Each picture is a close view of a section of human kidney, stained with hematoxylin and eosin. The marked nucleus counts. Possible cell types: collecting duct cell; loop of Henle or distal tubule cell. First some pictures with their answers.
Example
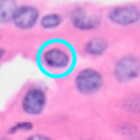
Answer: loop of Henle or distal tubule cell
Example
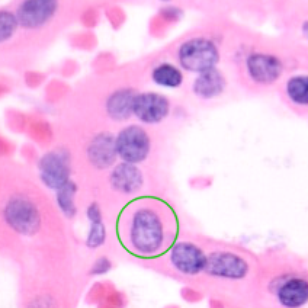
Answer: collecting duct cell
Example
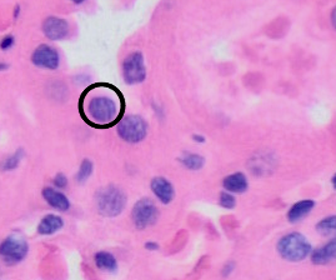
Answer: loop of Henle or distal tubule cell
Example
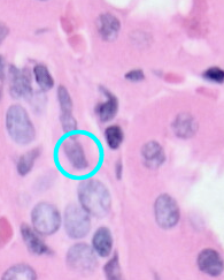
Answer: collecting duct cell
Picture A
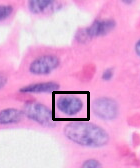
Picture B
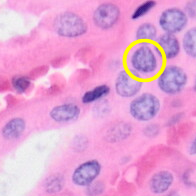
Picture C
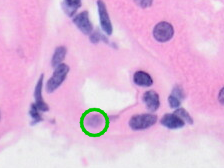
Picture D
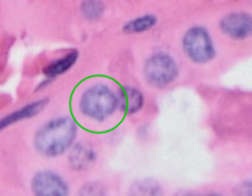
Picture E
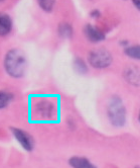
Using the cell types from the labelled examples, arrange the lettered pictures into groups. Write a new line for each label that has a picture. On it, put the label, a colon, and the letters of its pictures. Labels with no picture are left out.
collecting duct cell: A, B, C, D
loop of Henle or distal tubule cell: E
